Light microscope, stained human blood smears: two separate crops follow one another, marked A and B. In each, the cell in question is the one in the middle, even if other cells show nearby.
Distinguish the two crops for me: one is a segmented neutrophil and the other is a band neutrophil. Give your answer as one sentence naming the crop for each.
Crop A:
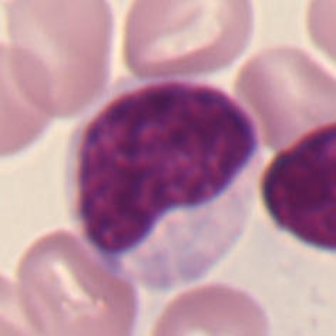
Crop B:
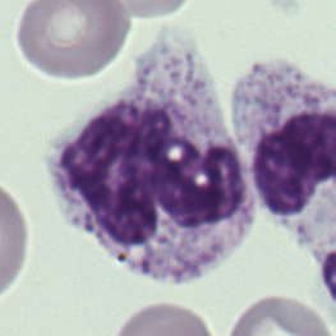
The cell that crop A centres on is a band neutrophil, and the cell that crop B centres on is a segmented neutrophil.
